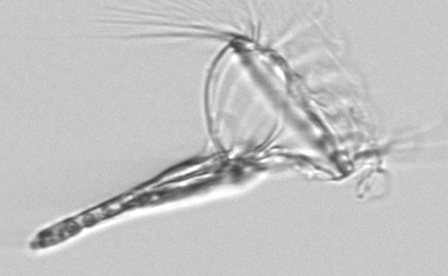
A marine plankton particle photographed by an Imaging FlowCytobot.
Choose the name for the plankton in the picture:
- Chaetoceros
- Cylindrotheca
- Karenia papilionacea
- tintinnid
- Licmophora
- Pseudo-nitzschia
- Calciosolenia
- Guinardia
tintinnid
